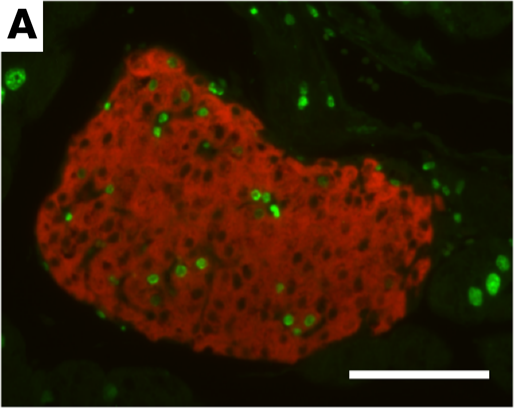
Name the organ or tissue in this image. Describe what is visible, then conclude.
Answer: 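Islets. A compact, sharply bounded cluster of cells. The cluster lies within dark surrounding tissue.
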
